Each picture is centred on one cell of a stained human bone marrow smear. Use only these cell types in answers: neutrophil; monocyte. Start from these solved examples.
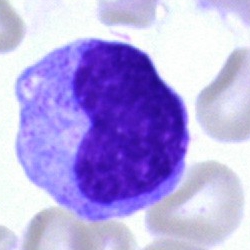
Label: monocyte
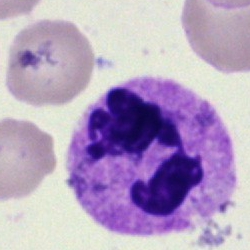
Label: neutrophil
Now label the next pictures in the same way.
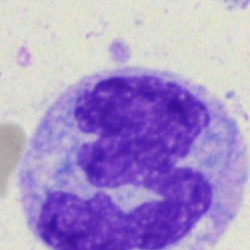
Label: monocyte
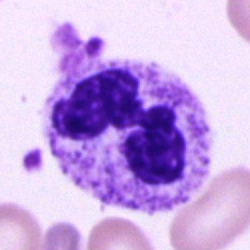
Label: neutrophil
